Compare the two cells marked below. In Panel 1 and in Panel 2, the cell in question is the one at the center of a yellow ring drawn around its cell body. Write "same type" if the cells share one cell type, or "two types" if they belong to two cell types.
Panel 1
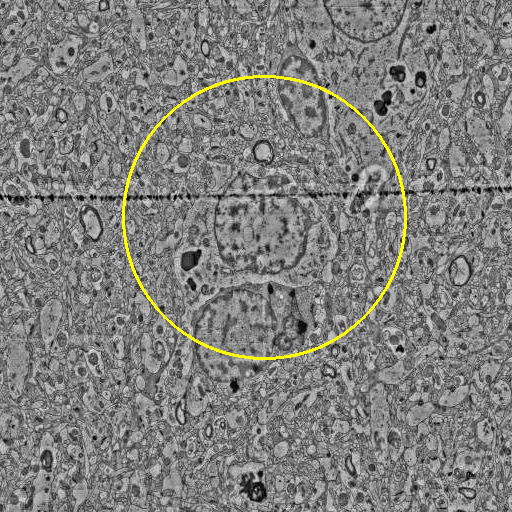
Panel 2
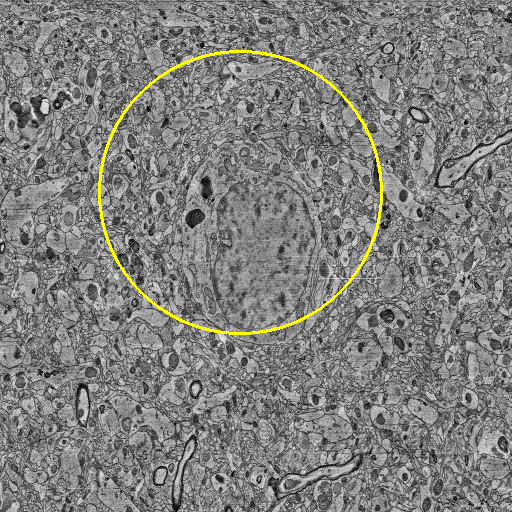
same type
